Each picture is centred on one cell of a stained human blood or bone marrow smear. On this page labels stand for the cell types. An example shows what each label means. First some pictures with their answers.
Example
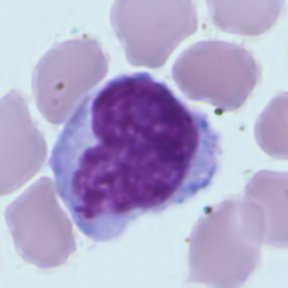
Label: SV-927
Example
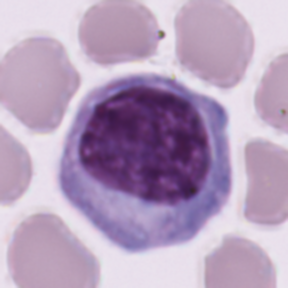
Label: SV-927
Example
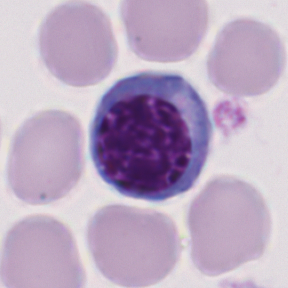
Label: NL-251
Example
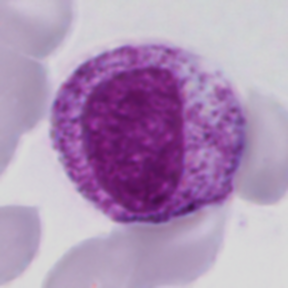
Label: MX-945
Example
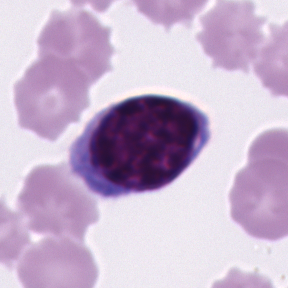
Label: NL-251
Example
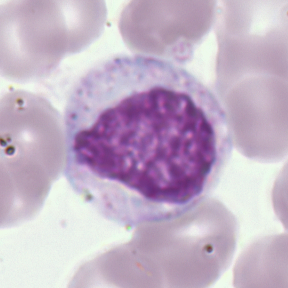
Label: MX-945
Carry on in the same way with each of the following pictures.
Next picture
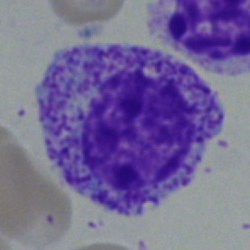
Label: MX-945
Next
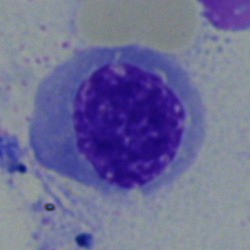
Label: NL-251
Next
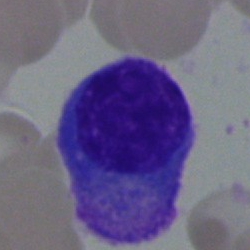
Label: SV-927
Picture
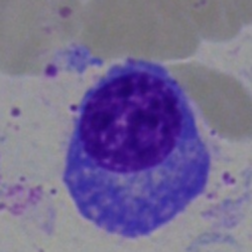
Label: SV-927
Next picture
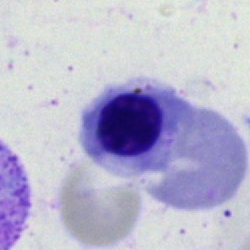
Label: NL-251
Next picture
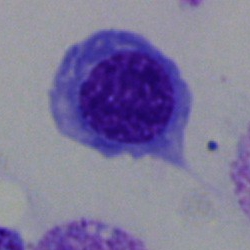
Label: NL-251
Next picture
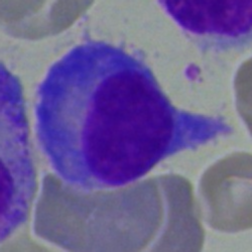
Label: SV-927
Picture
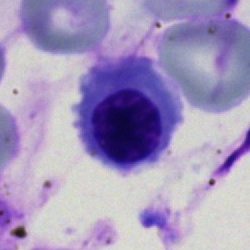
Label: NL-251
